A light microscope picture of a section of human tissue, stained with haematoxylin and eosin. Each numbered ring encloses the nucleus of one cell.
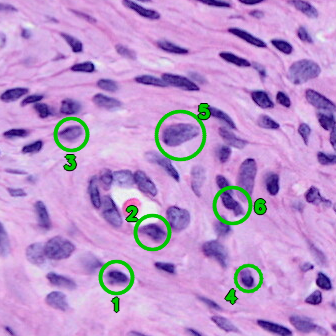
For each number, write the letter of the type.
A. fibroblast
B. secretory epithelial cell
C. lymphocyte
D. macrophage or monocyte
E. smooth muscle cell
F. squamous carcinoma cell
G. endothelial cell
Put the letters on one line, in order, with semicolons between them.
C; G; A; A; A; A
